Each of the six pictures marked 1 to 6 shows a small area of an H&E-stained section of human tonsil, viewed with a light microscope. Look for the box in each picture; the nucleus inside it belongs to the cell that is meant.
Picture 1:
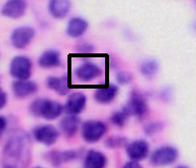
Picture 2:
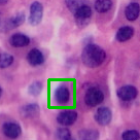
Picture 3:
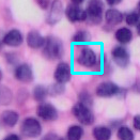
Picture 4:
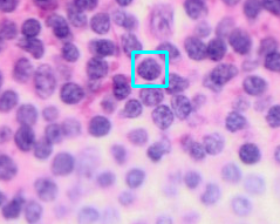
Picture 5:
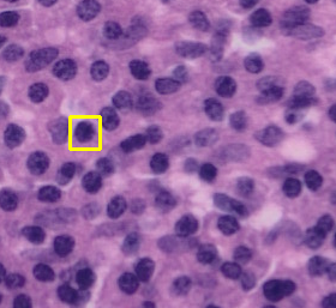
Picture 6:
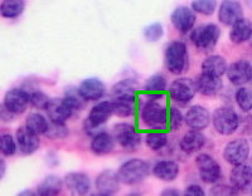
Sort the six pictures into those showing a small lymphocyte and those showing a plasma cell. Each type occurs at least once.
1: small lymphocyte
2: plasma cell
3: small lymphocyte
4: small lymphocyte
5: plasma cell
6: small lymphocyte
